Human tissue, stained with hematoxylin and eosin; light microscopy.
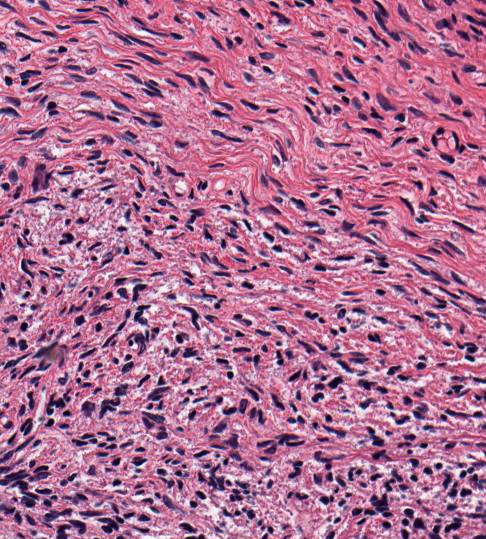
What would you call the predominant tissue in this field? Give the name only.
ovarian cortex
